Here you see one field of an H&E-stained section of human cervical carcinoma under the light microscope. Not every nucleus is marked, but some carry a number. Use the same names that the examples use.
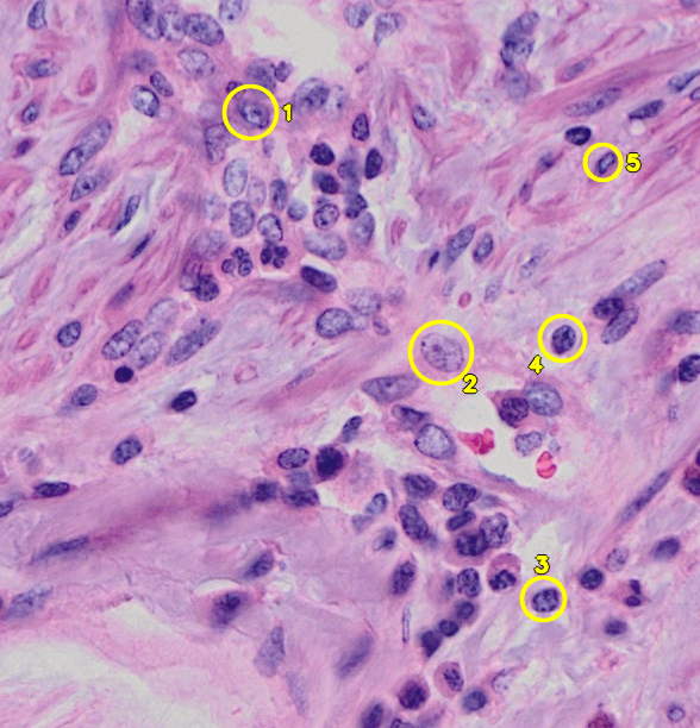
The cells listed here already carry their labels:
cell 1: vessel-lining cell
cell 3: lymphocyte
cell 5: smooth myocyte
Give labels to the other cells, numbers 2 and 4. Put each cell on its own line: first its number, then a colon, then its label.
2: vessel-lining cell
4: lymphocyte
